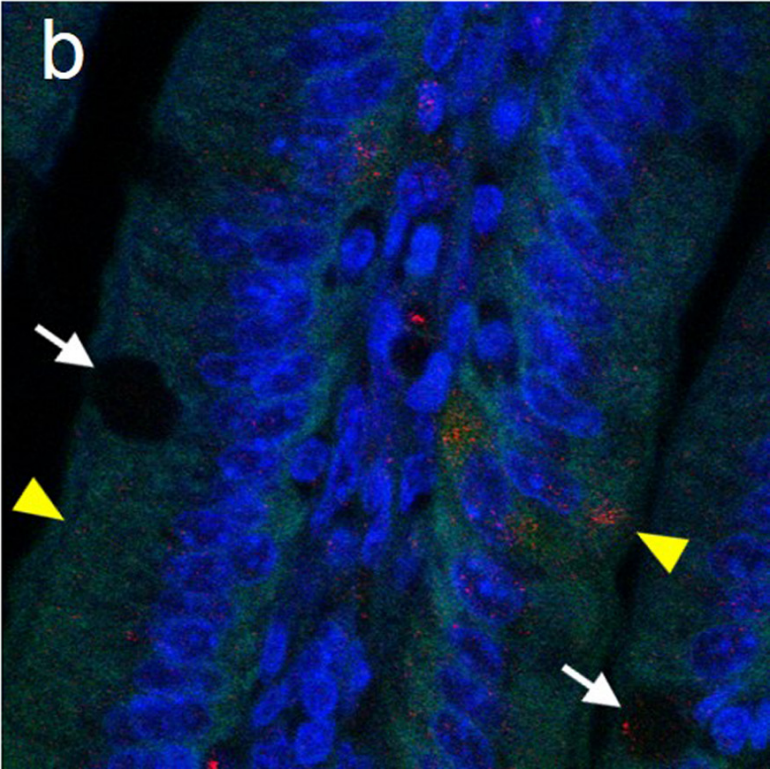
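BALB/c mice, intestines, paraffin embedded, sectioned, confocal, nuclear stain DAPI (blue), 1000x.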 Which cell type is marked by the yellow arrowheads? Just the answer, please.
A: Enterocytes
